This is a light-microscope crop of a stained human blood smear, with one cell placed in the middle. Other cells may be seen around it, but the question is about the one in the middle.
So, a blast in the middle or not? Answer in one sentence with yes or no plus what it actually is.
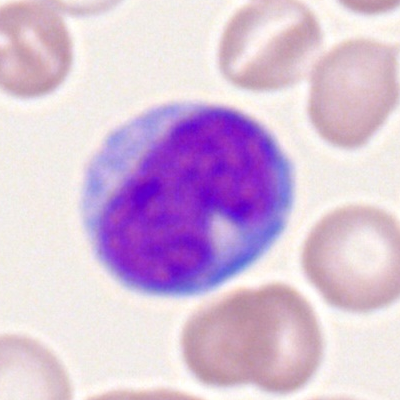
No, the central cell is not to be called a blast, being a monocyte.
